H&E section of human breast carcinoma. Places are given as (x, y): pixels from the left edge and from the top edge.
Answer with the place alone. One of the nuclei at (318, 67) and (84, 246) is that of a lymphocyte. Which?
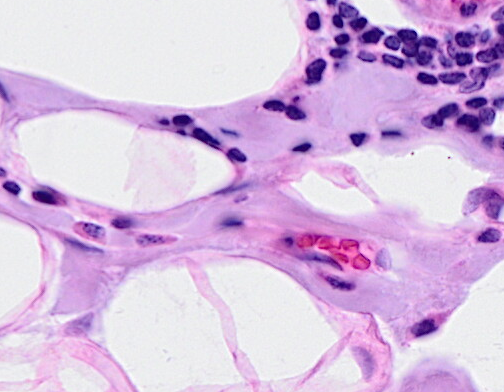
(318, 67)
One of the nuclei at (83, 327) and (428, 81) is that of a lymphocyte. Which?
(428, 81)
